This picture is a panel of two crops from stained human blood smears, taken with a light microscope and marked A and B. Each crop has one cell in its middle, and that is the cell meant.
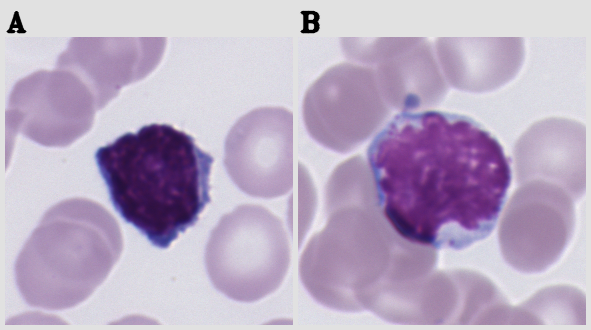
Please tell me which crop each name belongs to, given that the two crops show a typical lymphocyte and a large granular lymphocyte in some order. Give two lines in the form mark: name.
A: typical lymphocyte
B: large granular lymphocyte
